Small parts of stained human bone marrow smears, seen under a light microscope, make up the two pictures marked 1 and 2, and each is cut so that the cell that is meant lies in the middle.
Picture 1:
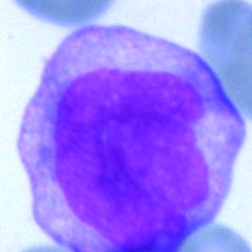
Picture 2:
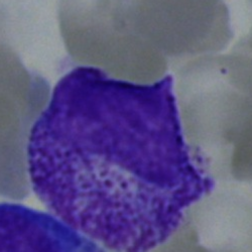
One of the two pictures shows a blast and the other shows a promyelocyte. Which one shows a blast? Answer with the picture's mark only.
1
